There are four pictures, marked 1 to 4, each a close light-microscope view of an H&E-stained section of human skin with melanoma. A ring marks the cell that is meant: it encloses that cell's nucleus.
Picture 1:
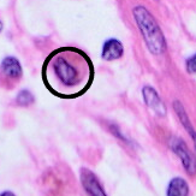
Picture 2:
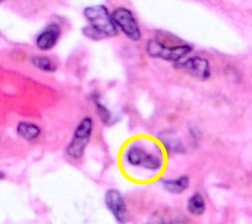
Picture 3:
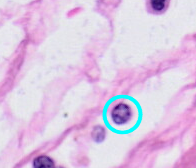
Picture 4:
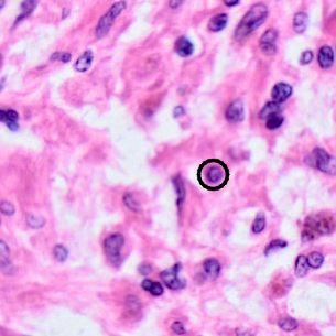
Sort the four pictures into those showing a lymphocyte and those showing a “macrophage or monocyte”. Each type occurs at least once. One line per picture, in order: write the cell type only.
macrophage or monocyte
macrophage or monocyte
lymphocyte
macrophage or monocyte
